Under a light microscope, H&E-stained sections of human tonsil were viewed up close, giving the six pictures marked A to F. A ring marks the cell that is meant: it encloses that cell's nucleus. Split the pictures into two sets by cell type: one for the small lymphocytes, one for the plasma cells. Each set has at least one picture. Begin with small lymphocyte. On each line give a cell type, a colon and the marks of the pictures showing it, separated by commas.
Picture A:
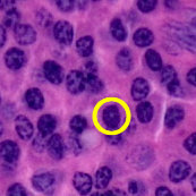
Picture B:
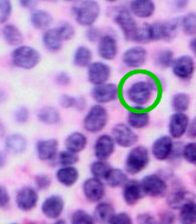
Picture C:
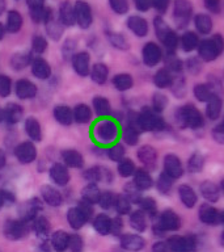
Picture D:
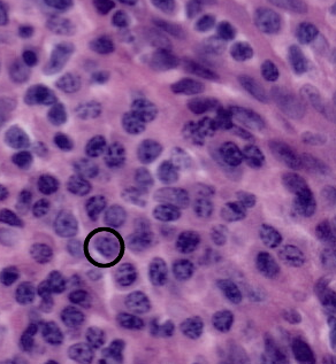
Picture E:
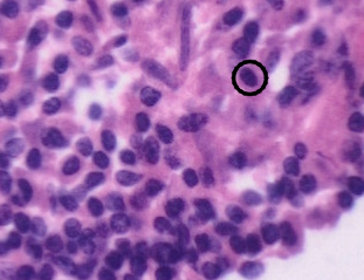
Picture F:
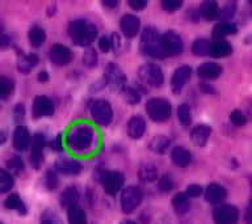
small lymphocyte: B, C
plasma cell: A, D, E, F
